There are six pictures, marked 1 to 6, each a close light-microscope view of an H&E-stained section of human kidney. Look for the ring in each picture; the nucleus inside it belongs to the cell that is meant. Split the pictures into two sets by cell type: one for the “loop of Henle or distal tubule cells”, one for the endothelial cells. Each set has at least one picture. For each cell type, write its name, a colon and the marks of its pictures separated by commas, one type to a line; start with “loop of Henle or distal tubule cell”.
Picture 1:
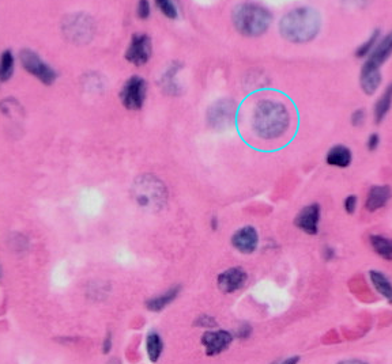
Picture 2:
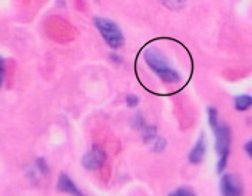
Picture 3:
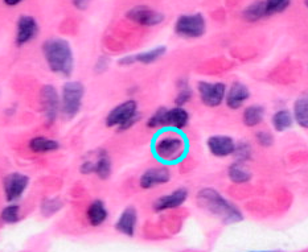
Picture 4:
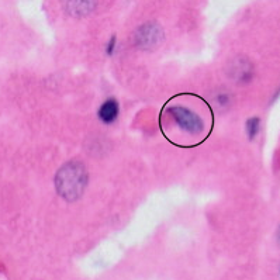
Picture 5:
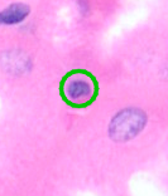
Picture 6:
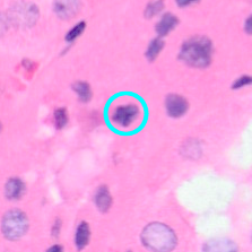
loop of Henle or distal tubule cell: 1, 6
endothelial cell: 2, 3, 4, 5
